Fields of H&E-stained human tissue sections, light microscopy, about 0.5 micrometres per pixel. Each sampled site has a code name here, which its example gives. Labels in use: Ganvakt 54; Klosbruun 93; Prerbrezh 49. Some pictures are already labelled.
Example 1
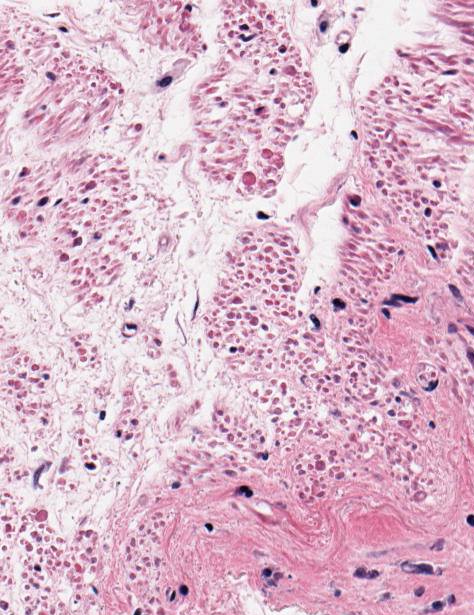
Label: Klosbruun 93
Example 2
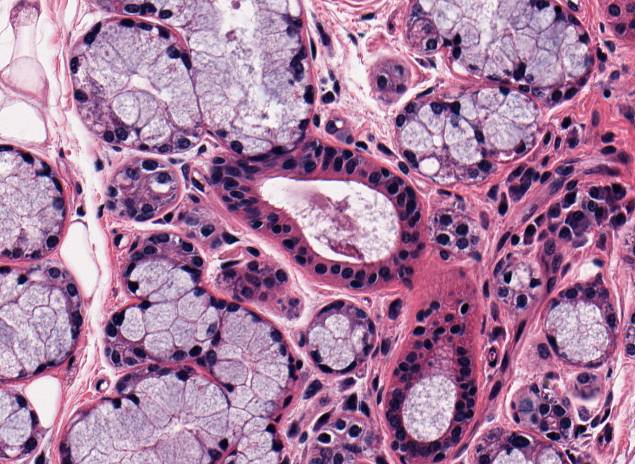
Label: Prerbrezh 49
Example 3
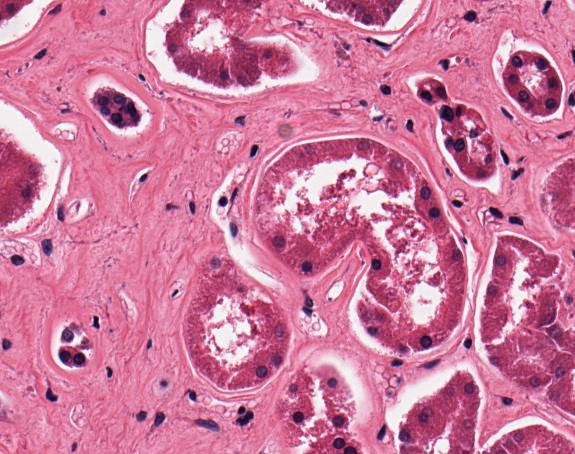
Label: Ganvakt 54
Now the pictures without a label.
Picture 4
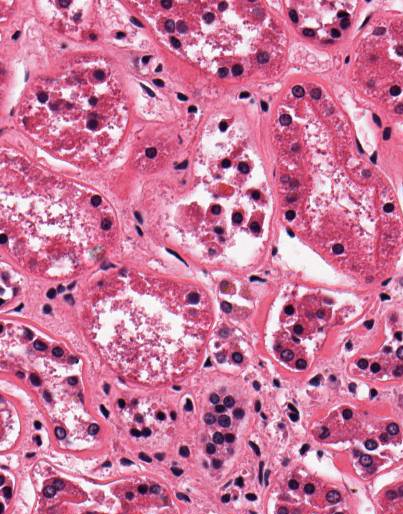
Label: Ganvakt 54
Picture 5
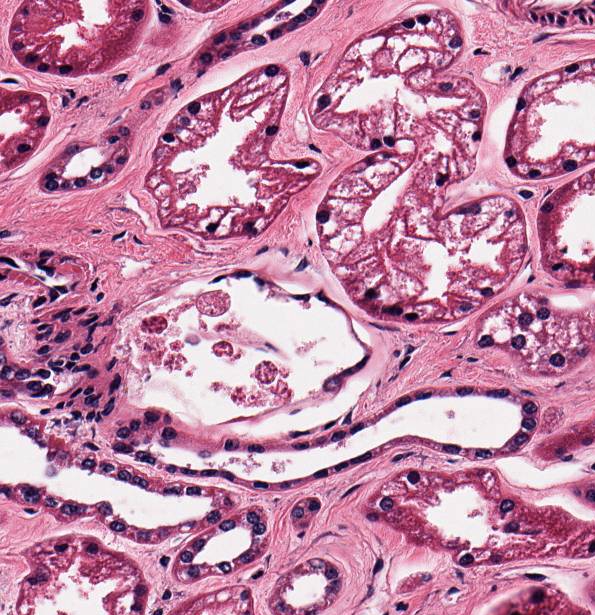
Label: Ganvakt 54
